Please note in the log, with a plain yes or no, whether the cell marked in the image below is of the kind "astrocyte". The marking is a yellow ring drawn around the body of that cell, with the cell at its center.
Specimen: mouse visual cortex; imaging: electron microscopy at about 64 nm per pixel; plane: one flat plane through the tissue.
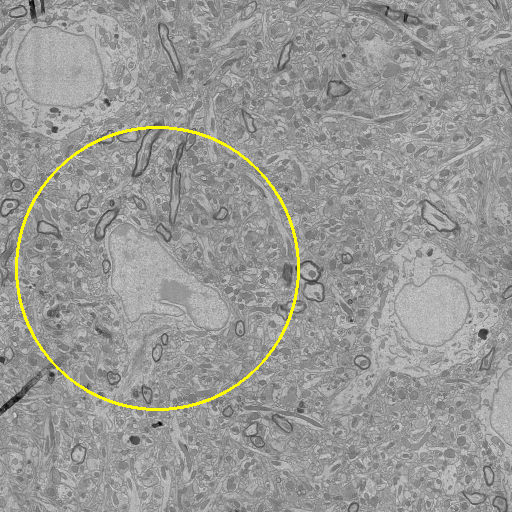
no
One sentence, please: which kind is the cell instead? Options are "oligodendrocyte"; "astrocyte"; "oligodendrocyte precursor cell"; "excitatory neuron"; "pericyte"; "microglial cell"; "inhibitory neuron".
Instead, the cell inside the ring is an oligodendrocyte precursor cell.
